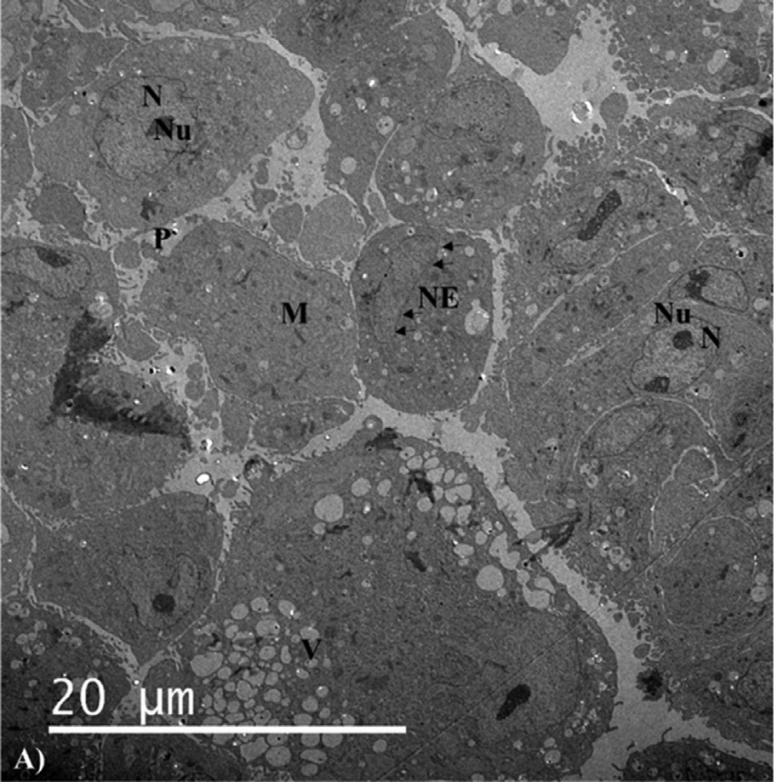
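Many cells have a large oval nucleus with fine chromatin, and some nuclei hold a dark, rounded nucleolus. The cytoplasm is moderately dense and granular. Several cells, especially toward the lower part of the field, contain clusters of pale round vacuoles. Thin cytoplasmic extensions reach into the spaces between neighbouring cells.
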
